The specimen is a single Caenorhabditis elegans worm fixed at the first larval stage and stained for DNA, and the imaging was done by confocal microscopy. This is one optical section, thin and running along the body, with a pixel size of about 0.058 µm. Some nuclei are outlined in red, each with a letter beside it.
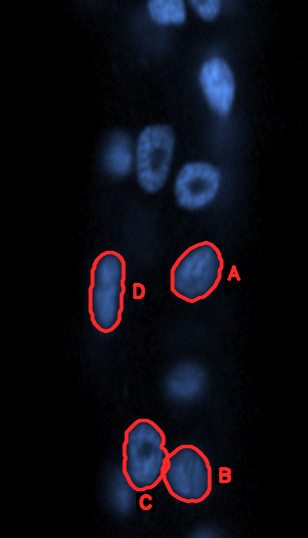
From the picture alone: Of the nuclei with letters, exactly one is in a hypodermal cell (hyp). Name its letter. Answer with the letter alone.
C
